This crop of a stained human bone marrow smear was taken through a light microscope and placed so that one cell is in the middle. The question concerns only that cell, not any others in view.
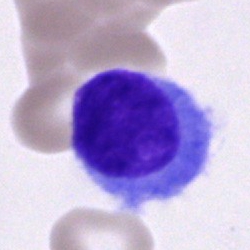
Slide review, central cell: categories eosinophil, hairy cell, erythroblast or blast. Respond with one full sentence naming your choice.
Regarding the central cell, it is a hairy cell.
